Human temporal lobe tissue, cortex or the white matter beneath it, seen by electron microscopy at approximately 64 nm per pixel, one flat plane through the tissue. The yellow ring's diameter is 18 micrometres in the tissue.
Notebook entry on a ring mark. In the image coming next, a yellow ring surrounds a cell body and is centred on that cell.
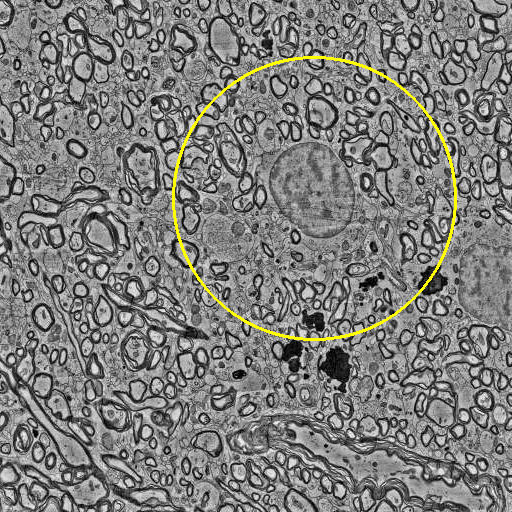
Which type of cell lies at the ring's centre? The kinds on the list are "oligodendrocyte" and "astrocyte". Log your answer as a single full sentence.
Centred in the yellow ring is an oligodendrocyte, the cell recorded for this image.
